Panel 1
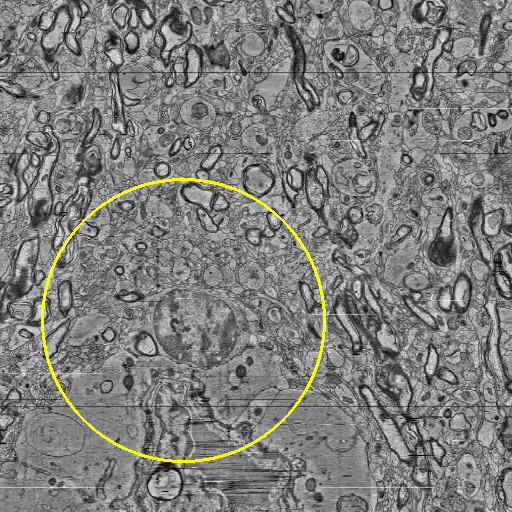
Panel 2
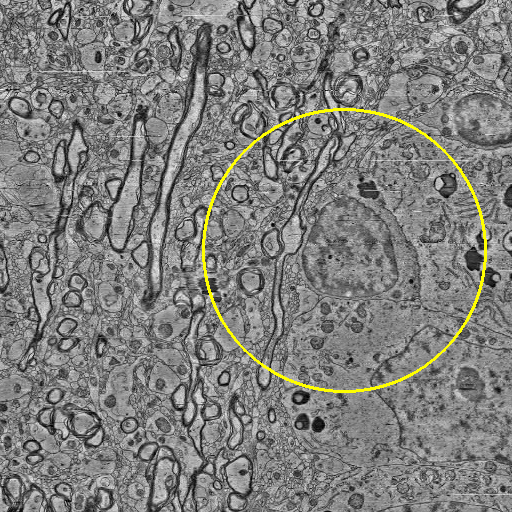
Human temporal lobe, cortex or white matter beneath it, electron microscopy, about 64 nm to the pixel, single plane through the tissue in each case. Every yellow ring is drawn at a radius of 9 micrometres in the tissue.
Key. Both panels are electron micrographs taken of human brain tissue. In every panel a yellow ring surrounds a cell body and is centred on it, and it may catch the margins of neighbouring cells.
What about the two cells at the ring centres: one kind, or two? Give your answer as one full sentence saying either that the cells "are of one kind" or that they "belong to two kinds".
Across Panels 1 and 2, the two cells at the ring centres are of one kind.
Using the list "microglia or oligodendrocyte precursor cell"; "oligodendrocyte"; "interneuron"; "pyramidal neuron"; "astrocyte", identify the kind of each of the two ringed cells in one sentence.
In the first picture and in the second, the ring is centred on an oligodendrocyte.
